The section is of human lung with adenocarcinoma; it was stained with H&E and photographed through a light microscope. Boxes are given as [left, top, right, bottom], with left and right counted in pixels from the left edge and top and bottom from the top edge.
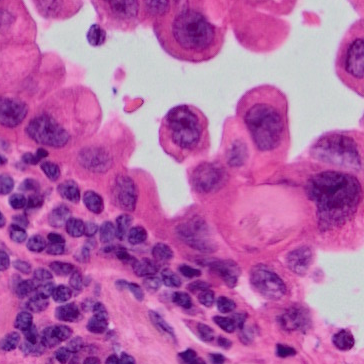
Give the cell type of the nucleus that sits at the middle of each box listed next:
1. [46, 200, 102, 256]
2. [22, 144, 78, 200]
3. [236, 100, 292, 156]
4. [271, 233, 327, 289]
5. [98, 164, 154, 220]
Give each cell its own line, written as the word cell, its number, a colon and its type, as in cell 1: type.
cell 1: lymphocyte
cell 2: lymphocyte
cell 3: carcinoma cell
cell 4: carcinoma cell
cell 5: carcinoma cell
